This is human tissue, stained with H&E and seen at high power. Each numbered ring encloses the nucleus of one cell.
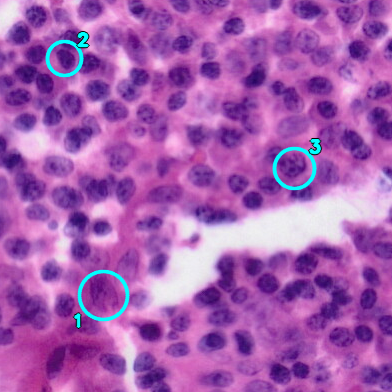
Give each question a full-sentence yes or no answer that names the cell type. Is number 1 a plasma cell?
No, the cell numbered 1 is a squamous epithelial cell rather than a plasma cell.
